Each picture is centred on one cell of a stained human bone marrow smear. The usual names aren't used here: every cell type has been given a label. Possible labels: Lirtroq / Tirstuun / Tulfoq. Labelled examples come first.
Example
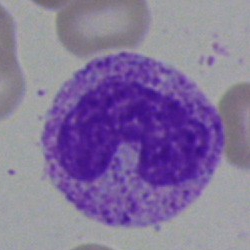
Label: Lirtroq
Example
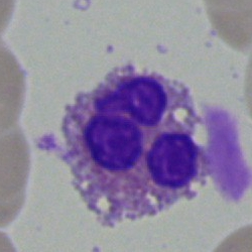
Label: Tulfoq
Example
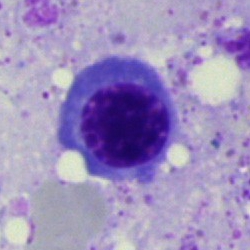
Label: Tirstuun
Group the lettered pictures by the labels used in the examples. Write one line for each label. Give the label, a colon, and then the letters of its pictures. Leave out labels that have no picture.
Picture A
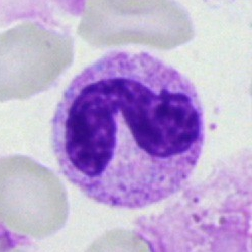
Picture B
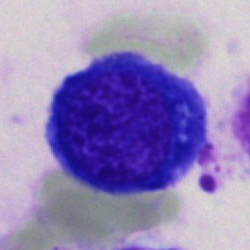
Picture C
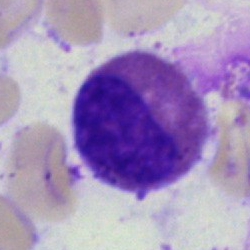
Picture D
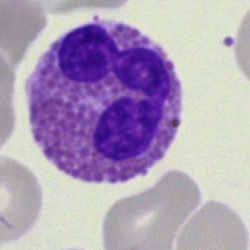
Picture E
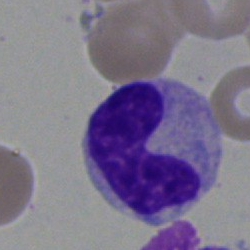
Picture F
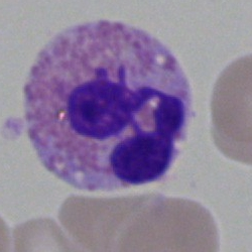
Lirtroq: A, E
Tirstuun: B
Tulfoq: C, D, F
